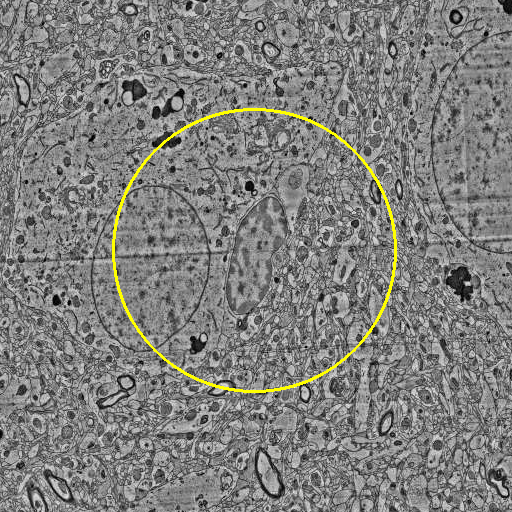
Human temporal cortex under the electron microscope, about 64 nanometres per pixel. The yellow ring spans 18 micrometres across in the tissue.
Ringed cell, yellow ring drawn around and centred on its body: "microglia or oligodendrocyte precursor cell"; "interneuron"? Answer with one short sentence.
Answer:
This ringed cell is a microglial cell or oligodendrocyte precursor cell.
